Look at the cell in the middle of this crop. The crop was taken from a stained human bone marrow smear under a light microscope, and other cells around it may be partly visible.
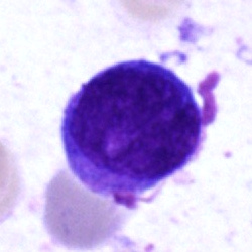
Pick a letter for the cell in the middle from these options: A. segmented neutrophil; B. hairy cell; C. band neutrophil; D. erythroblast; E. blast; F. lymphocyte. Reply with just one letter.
E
